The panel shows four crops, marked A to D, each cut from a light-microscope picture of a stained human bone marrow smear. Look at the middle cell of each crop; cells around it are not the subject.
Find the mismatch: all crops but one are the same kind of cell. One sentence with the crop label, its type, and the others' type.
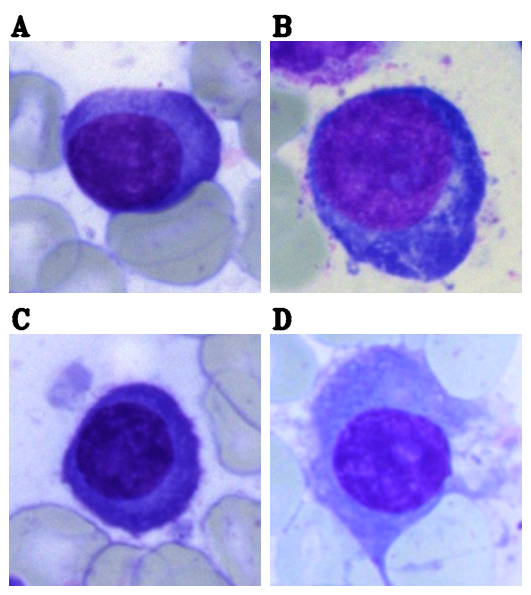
The cells centred in the other crops are all plasma cells, but crop B is a proerythroblast.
